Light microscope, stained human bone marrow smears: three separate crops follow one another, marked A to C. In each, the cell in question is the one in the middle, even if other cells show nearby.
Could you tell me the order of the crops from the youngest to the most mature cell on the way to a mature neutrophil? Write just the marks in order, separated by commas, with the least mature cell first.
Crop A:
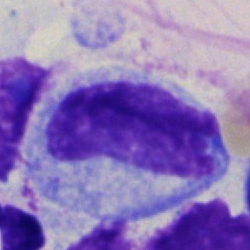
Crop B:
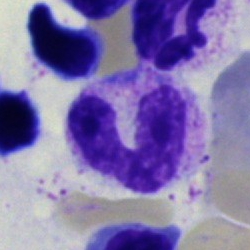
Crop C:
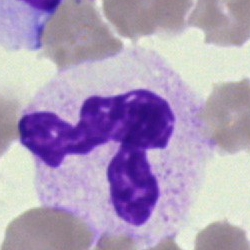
A, B, C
